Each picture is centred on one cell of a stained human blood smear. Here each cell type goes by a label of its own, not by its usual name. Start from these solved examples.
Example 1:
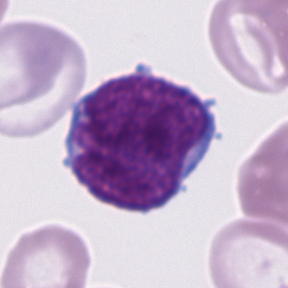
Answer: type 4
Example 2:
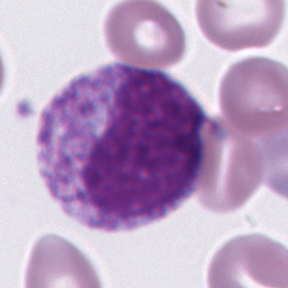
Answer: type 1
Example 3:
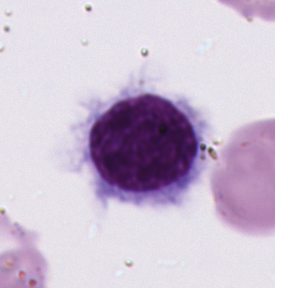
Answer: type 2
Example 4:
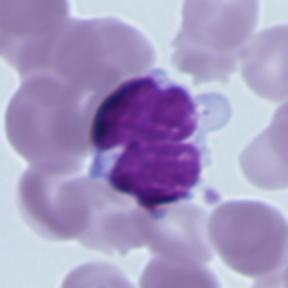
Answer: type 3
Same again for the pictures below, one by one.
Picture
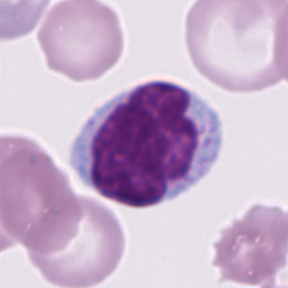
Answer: type 3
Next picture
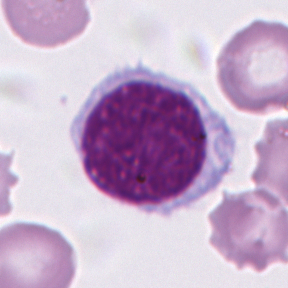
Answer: type 2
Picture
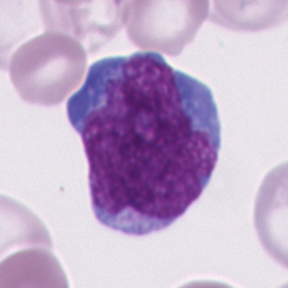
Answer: type 4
